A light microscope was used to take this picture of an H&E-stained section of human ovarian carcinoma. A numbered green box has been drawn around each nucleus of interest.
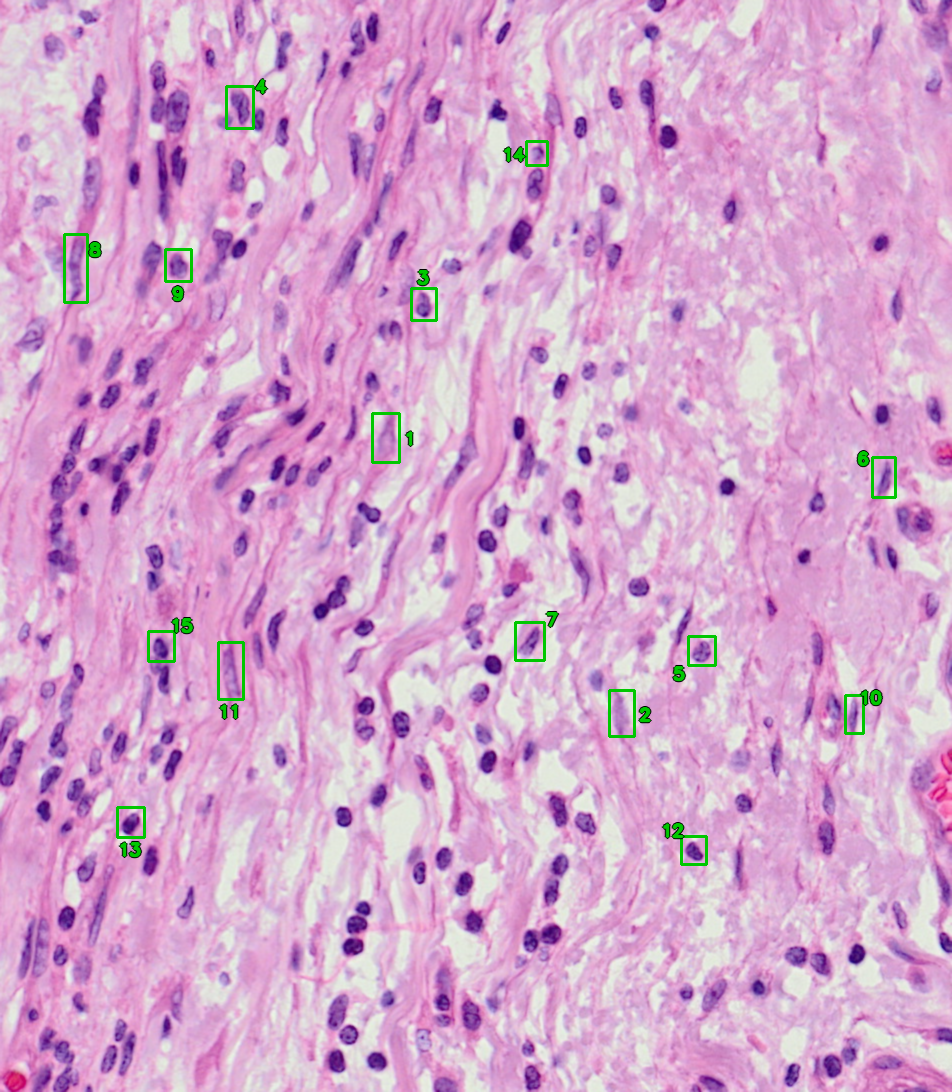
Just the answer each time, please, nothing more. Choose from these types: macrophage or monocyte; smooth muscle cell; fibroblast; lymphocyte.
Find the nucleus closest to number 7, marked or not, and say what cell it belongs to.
lymphocyte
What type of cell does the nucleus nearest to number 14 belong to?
macrophage or monocyte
